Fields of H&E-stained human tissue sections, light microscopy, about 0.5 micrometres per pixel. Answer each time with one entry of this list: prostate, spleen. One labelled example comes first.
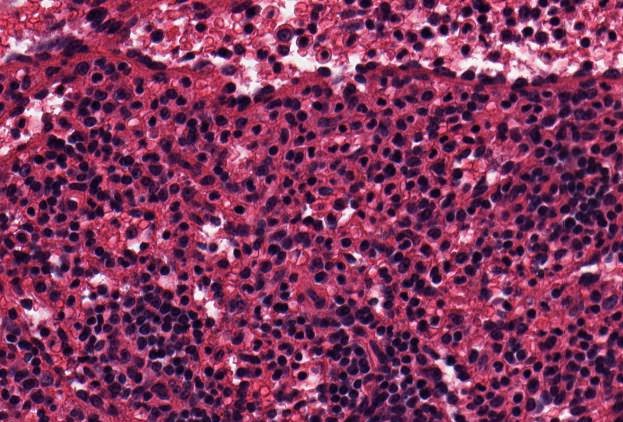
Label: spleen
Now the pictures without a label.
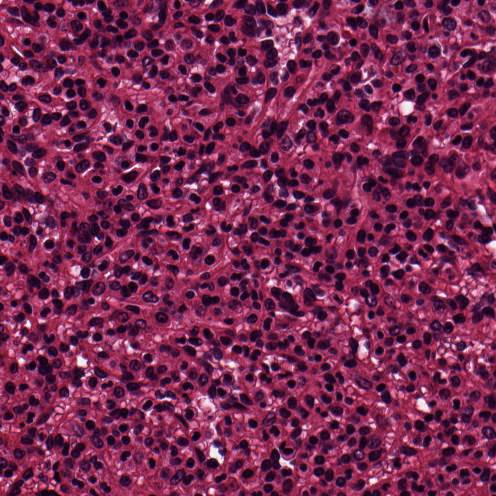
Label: spleen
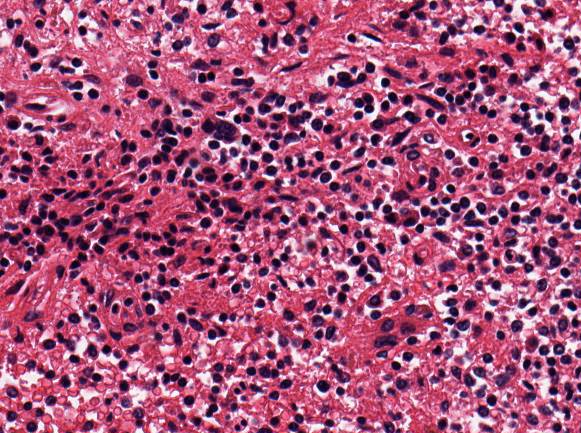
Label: spleen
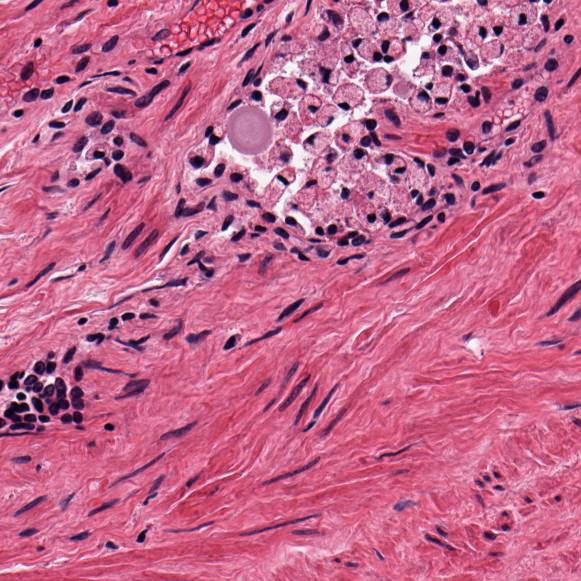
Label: prostate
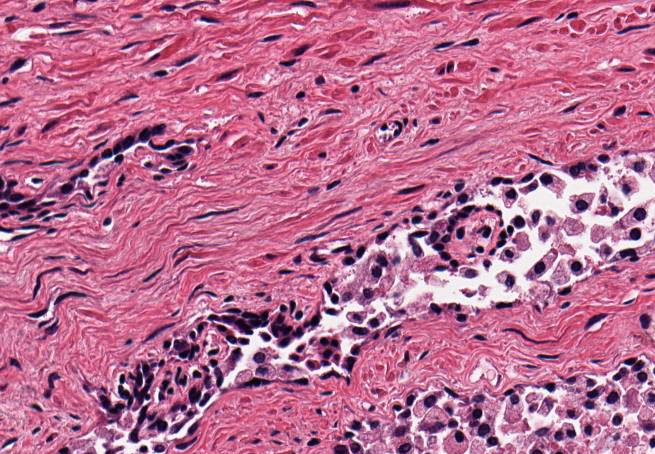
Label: prostate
